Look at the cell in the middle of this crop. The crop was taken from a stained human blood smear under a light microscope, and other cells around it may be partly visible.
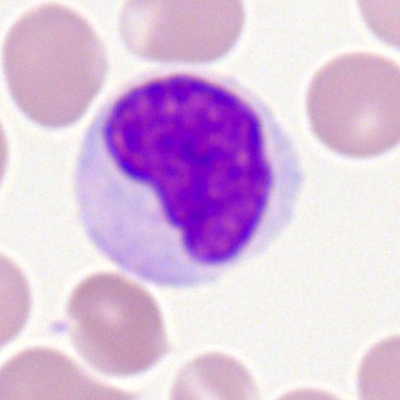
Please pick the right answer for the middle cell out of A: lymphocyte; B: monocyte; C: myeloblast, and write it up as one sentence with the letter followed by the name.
In the middle of the crop is a monocyte; option B is therefore correct.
